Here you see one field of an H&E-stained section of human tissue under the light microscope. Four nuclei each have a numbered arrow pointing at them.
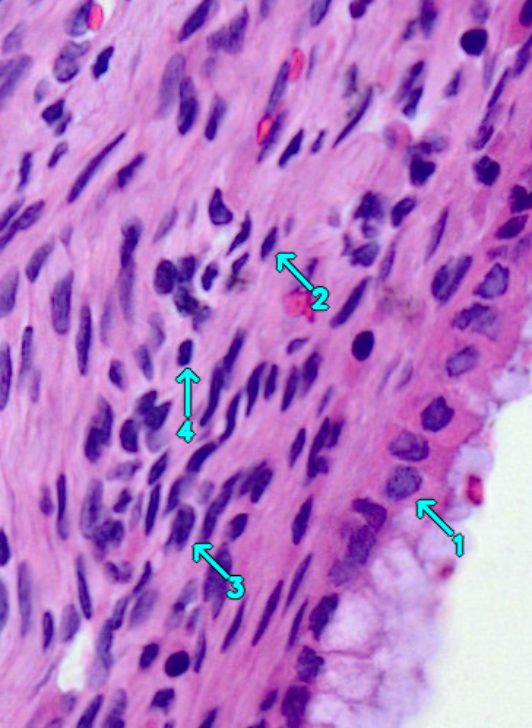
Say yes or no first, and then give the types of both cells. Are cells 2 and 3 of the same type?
Yes, both cells 2 and 3 are fibroblasts.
